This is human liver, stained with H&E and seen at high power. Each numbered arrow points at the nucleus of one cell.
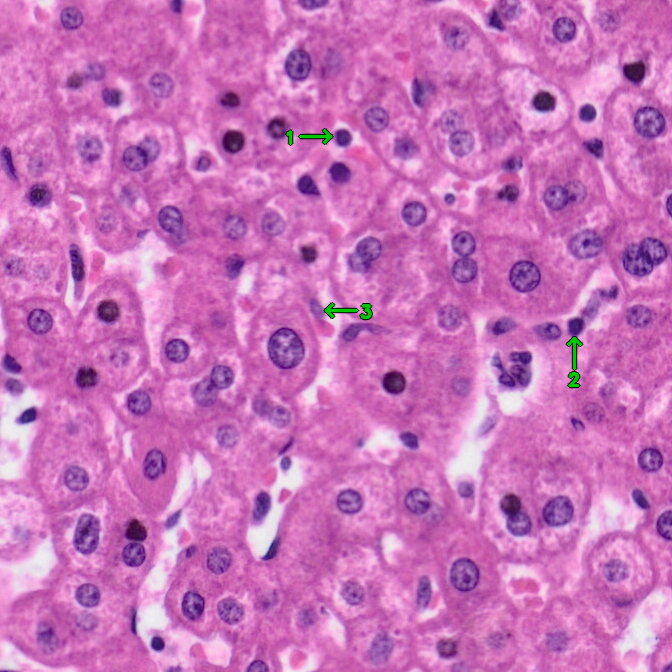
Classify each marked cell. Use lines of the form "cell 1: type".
cell 1: lymphocyte
cell 2: lymphocyte
cell 3: Kupffer cell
